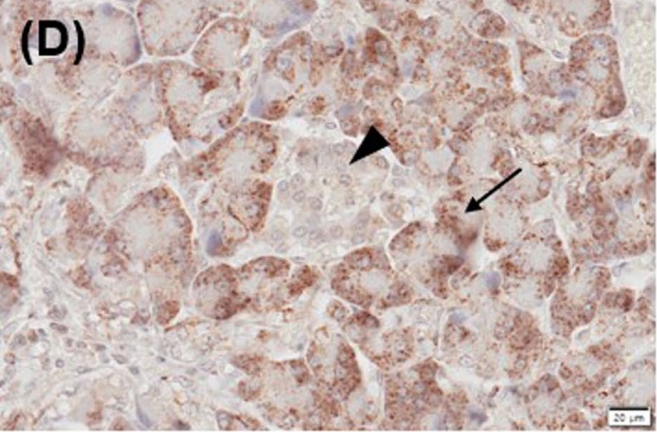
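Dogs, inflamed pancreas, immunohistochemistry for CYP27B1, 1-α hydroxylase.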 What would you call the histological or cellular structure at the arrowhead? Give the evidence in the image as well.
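The arrowhead points to a pale group of cells with round nuclei. Surrounding clusters contain dense granular brown stain. On this evidence: islets of Langerhans.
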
